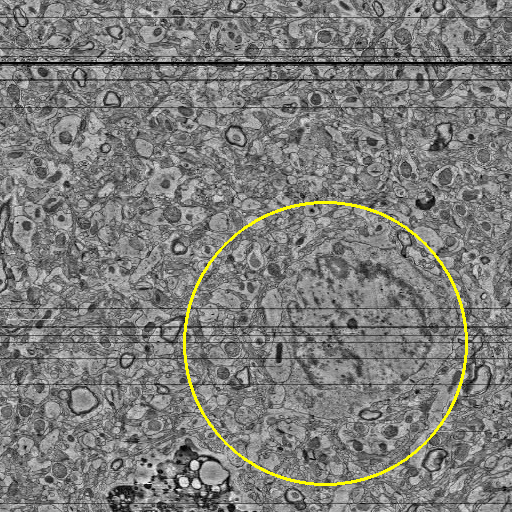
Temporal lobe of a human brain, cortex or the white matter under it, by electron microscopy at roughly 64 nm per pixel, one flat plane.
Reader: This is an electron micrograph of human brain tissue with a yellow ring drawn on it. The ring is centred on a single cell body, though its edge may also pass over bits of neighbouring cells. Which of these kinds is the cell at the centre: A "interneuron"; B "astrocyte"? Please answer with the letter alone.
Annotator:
A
